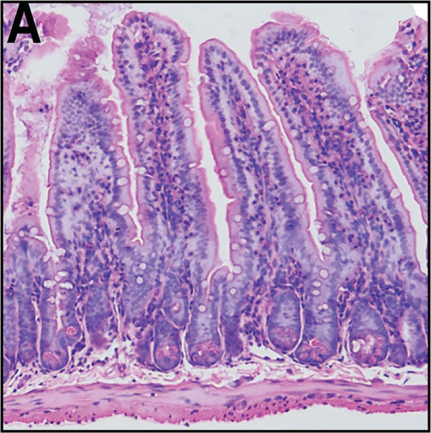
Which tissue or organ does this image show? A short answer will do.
Intestine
